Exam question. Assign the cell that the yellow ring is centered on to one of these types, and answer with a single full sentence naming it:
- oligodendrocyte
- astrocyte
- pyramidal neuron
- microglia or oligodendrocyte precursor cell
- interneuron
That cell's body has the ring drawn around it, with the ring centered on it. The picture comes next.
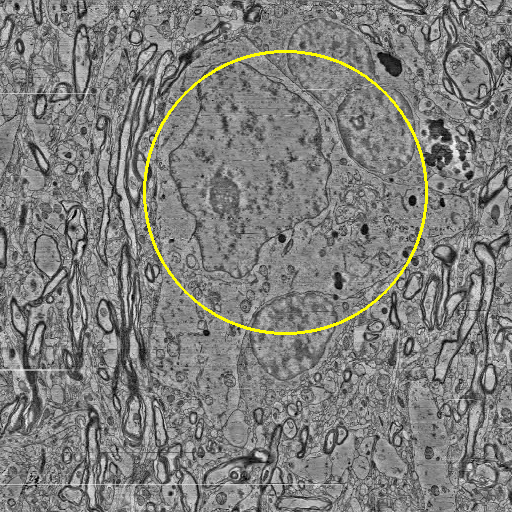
In the micrograph, the cell the yellow ring is centered on is a pyramidal neuron.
